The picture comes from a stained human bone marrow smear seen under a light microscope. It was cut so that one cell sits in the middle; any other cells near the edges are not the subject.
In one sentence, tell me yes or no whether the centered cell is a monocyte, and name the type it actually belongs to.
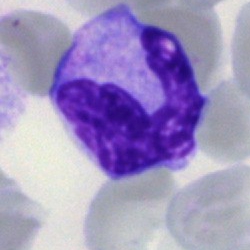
Yes, the cell centred in the field of view is a monocyte.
